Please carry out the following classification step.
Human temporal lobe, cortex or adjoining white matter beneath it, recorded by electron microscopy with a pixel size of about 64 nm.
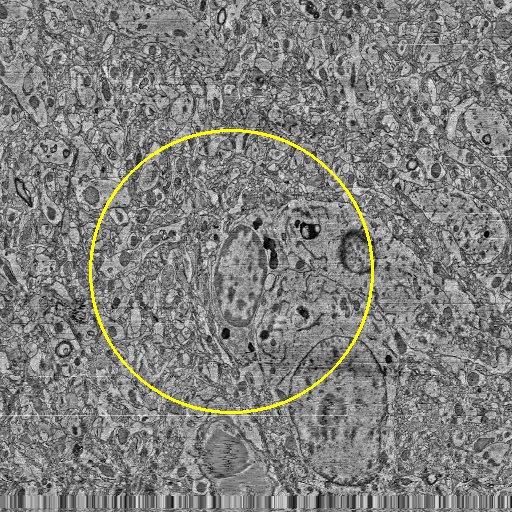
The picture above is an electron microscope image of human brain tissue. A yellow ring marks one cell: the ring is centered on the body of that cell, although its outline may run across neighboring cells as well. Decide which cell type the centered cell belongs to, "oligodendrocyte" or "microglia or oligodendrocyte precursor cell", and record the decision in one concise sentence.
The cell centered in the yellow ring is a microglial cell or oligodendrocyte precursor cell.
